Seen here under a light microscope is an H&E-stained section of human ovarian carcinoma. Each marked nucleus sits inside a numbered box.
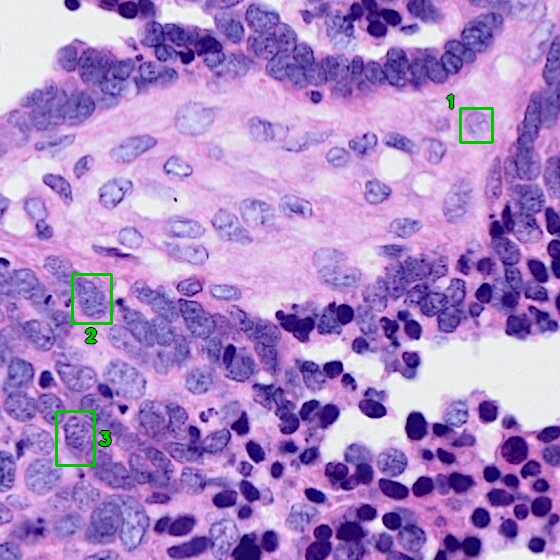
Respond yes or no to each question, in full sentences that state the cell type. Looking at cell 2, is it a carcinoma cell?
Yes, on this slide, the cell with number 2 is a carcinoma cell.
